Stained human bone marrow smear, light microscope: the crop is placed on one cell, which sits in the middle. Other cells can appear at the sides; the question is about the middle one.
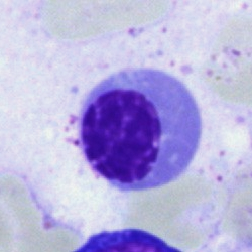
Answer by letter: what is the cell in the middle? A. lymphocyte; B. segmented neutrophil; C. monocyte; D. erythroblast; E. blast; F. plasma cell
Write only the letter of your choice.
D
